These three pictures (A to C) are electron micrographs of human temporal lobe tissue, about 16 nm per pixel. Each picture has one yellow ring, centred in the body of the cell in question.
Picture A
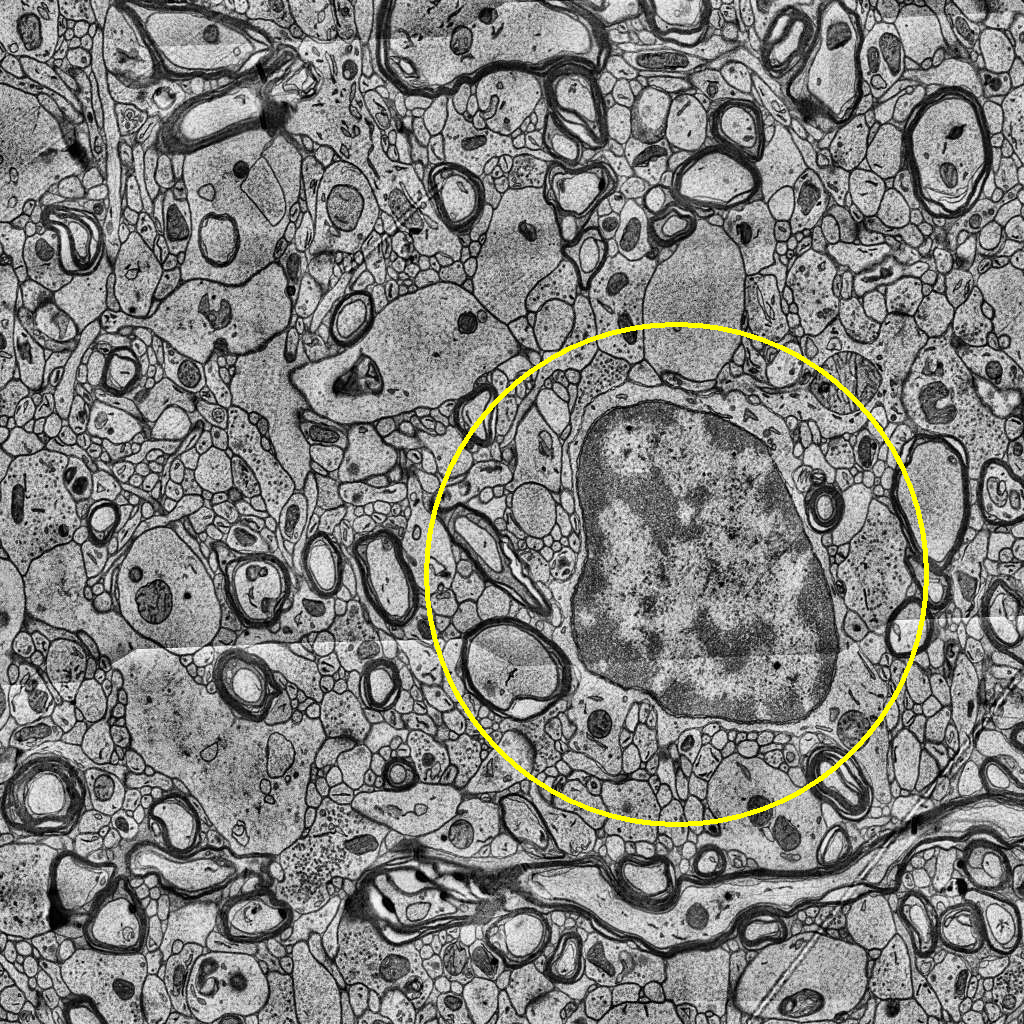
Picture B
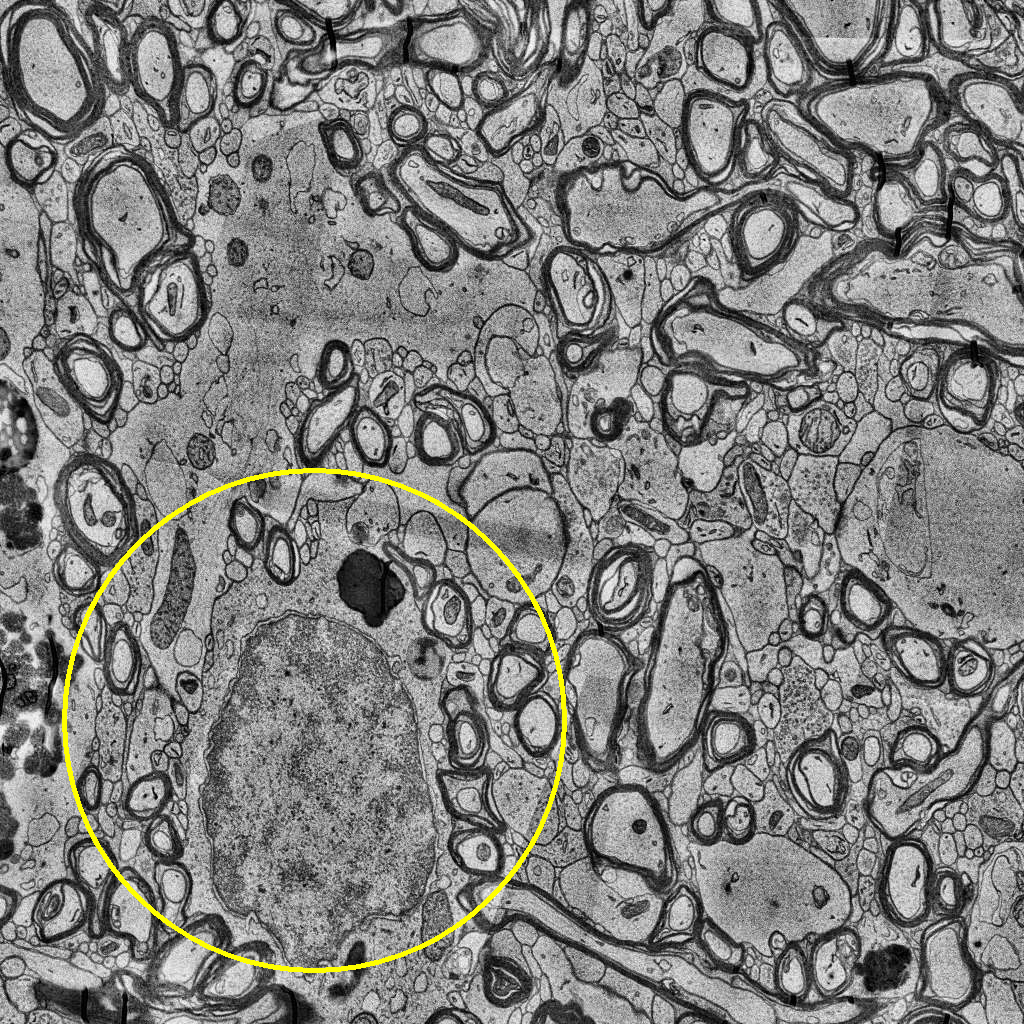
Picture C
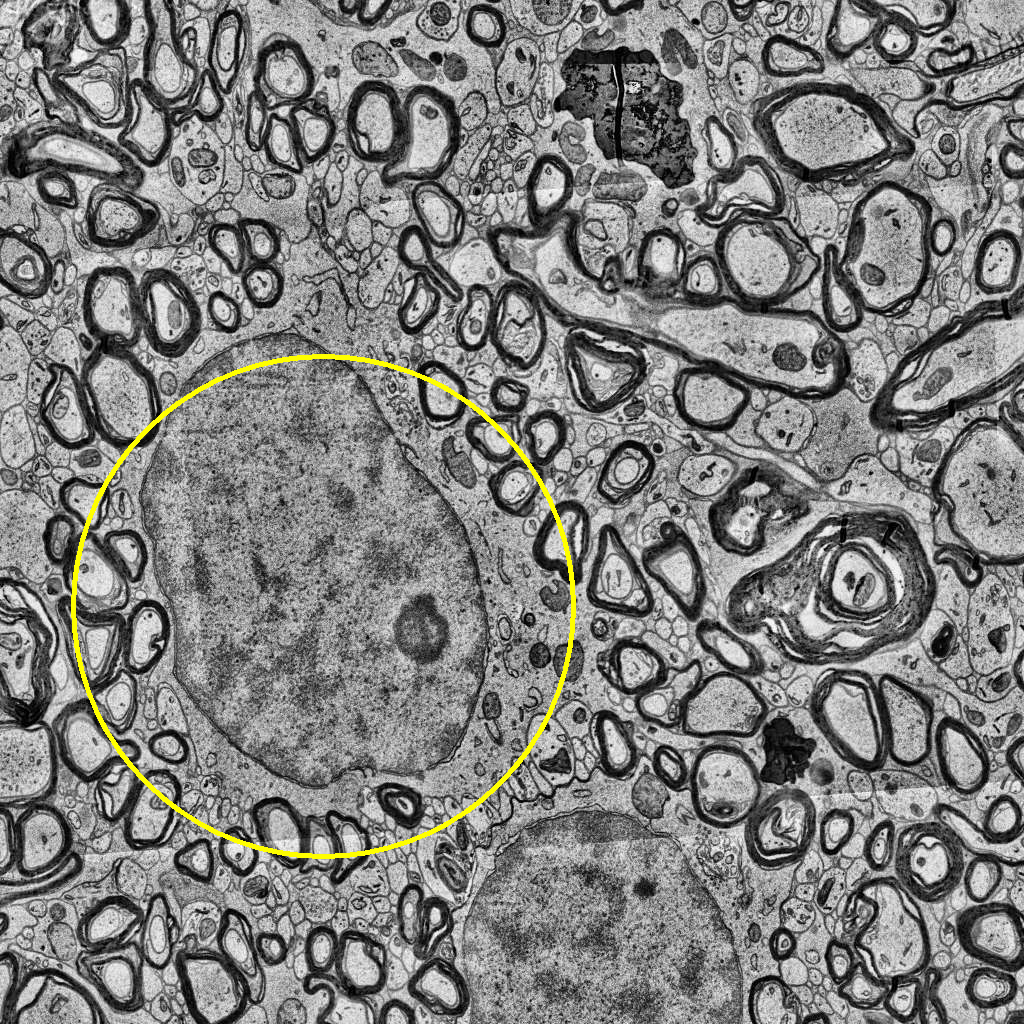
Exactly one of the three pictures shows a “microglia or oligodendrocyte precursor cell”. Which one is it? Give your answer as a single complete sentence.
The cell in picture A is the “microglia or oligodendrocyte precursor cell”.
